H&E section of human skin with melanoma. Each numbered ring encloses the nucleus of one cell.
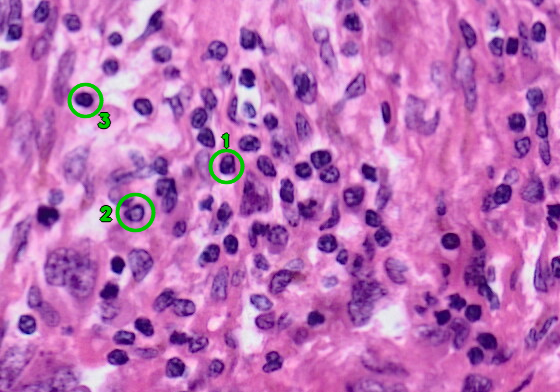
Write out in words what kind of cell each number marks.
Cell 1 is a lymphocyte, cell 2 is a plasma cell and cell 3 is a lymphocyte.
